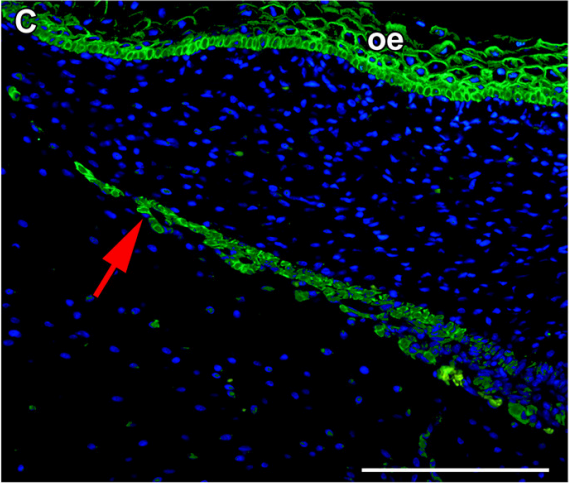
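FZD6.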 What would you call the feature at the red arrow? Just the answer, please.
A: epithelial remnants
